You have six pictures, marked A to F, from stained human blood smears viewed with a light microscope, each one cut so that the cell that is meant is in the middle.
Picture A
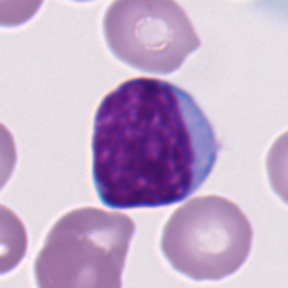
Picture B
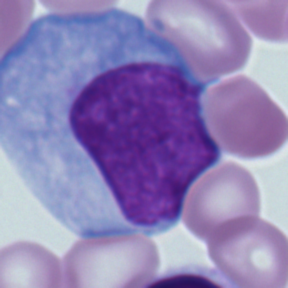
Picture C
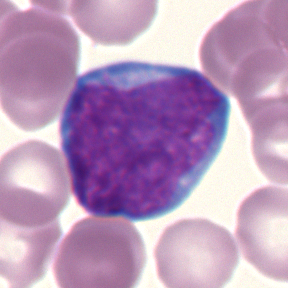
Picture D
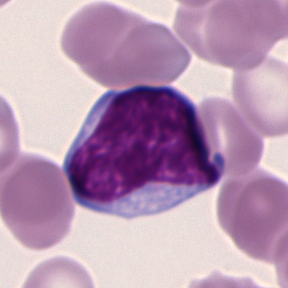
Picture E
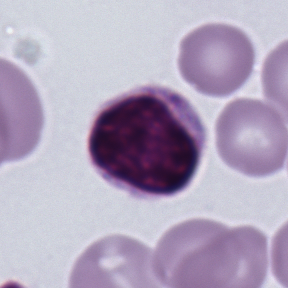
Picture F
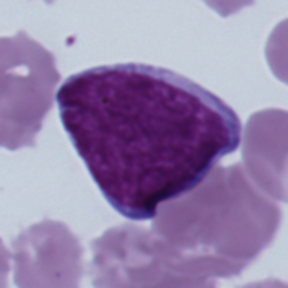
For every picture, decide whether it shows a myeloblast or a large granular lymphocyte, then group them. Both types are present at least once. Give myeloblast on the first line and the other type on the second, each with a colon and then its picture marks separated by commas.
myeloblast: A, B, C, F
large granular lymphocyte: D, E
